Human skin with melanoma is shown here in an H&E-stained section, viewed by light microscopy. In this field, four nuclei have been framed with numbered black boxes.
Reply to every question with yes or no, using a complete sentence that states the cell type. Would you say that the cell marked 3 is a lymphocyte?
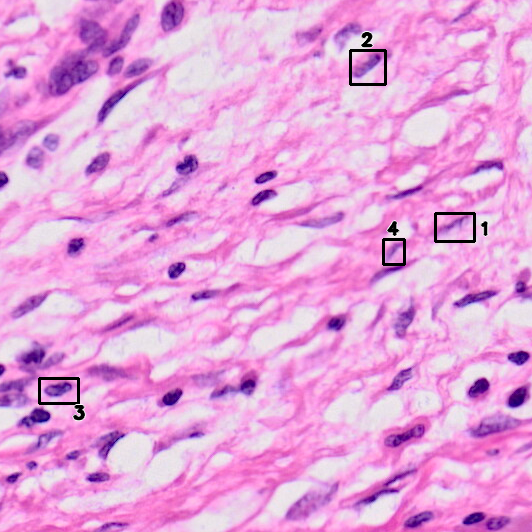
Yes, the cell identified by number 3 is a lymphocyte.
